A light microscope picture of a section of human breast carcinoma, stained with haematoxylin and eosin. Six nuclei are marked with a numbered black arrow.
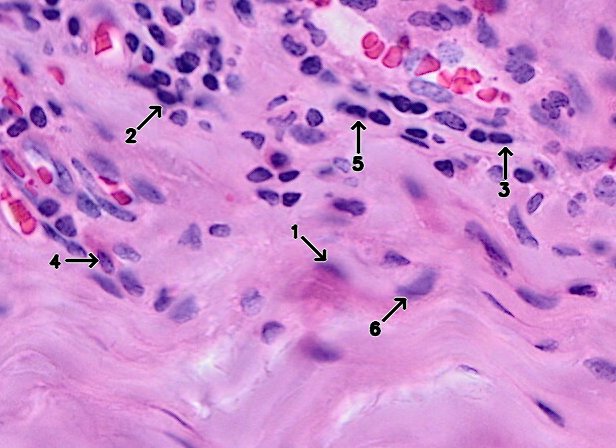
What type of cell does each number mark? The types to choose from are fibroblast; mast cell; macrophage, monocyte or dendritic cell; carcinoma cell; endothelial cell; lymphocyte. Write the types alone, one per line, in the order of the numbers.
fibroblast
lymphocyte
lymphocyte
mast cell
lymphocyte
fibroblast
